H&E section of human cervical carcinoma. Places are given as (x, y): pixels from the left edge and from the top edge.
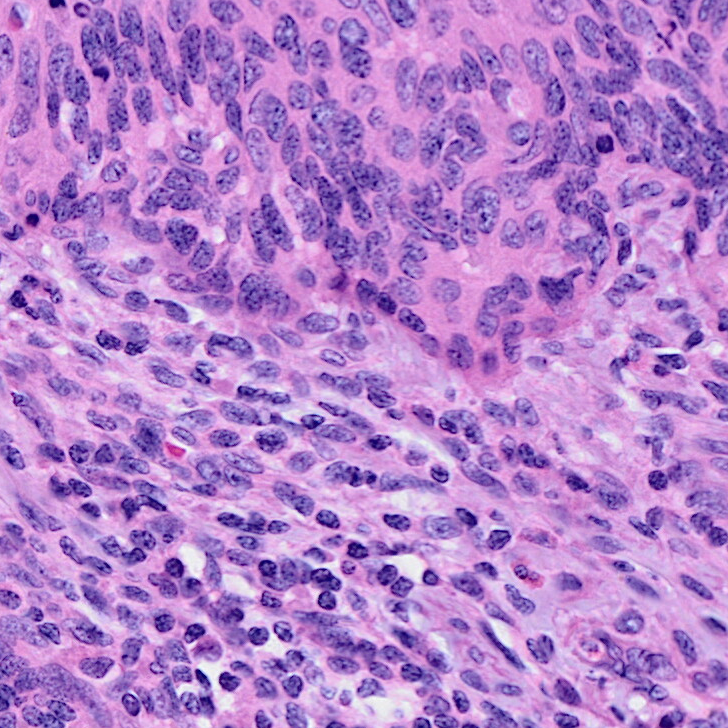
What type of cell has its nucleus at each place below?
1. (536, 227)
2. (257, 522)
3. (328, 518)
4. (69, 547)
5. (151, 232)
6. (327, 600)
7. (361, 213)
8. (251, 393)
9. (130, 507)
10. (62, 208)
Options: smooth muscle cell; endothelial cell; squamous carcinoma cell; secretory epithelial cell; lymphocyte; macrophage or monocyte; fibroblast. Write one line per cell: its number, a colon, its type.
1: squamous carcinoma cell
2: lymphocyte
3: lymphocyte
4: lymphocyte
5: squamous carcinoma cell
6: lymphocyte
7: squamous carcinoma cell
8: lymphocyte
9: lymphocyte
10: squamous carcinoma cell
